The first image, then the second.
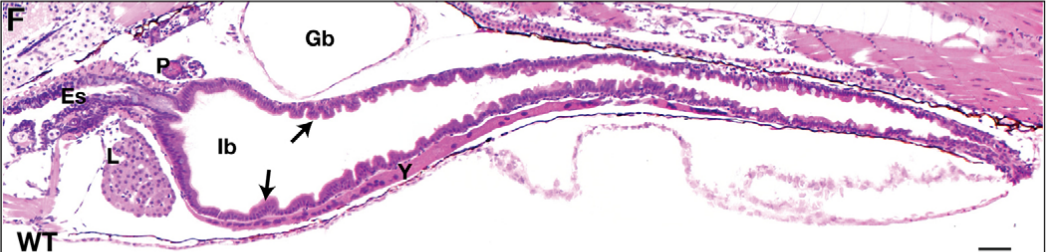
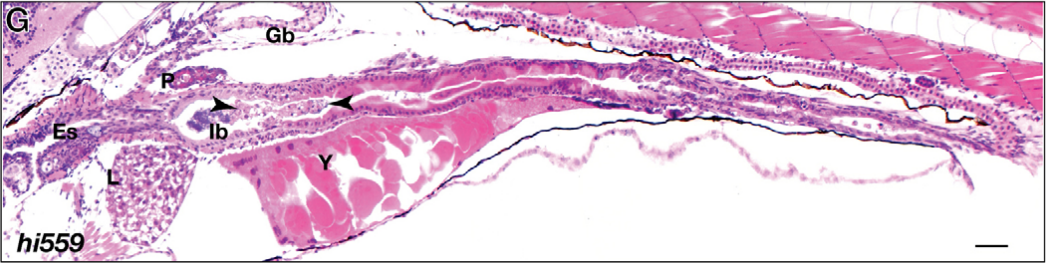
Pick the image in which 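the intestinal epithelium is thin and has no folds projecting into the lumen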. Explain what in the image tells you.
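The second image. Second image: the gut lining is a thin, flat layer around a narrow lumen holding clumps of cells. First image: the gut lining is tall and folded around a wide, open lumen.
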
